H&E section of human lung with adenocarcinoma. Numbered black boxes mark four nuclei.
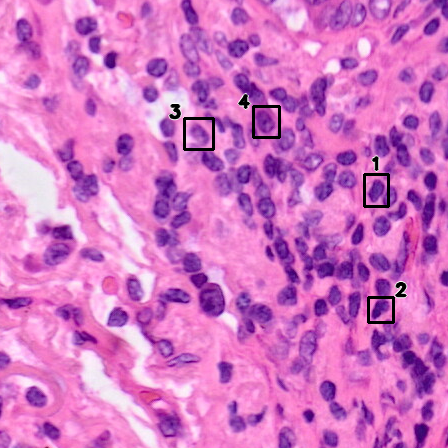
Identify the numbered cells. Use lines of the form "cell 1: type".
cell 1: lymphocyte
cell 2: lymphocyte
cell 3: lymphocyte
cell 4: plasma cell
